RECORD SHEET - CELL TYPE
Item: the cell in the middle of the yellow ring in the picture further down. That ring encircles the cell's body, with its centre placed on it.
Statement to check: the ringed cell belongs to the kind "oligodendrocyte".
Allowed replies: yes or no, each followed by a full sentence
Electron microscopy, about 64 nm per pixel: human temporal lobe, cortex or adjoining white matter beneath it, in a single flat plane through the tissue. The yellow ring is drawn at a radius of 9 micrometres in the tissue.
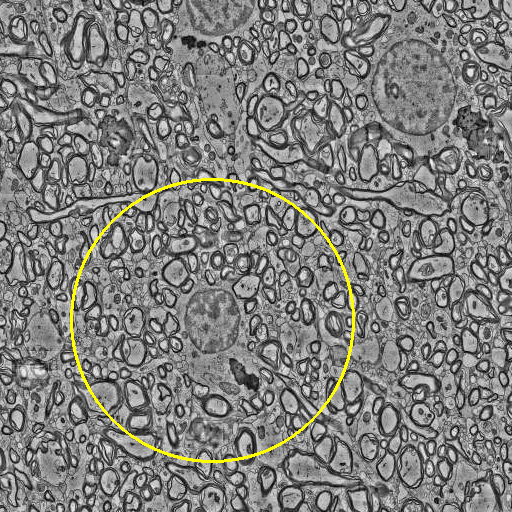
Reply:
Yes, the cell held at the centre of the ring in the picture is of that kind.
